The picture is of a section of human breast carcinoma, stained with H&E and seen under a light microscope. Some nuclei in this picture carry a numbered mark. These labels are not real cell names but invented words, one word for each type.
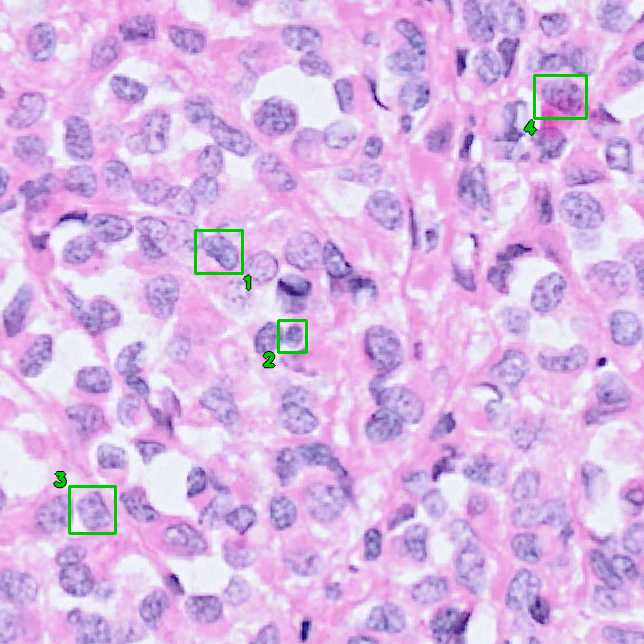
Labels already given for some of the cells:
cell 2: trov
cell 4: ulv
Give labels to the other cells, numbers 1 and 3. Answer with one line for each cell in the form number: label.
1: ulv
3: ulv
